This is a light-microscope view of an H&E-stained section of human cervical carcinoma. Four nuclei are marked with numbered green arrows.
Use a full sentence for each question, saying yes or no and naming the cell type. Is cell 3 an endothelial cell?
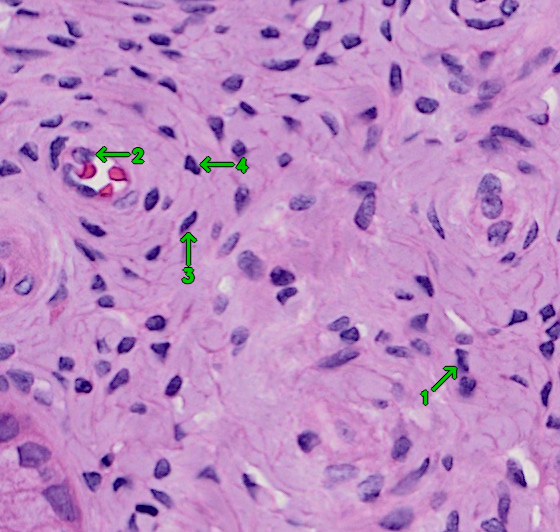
No, the cell tagged 3 is a fibroblast, not an endothelial cell.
